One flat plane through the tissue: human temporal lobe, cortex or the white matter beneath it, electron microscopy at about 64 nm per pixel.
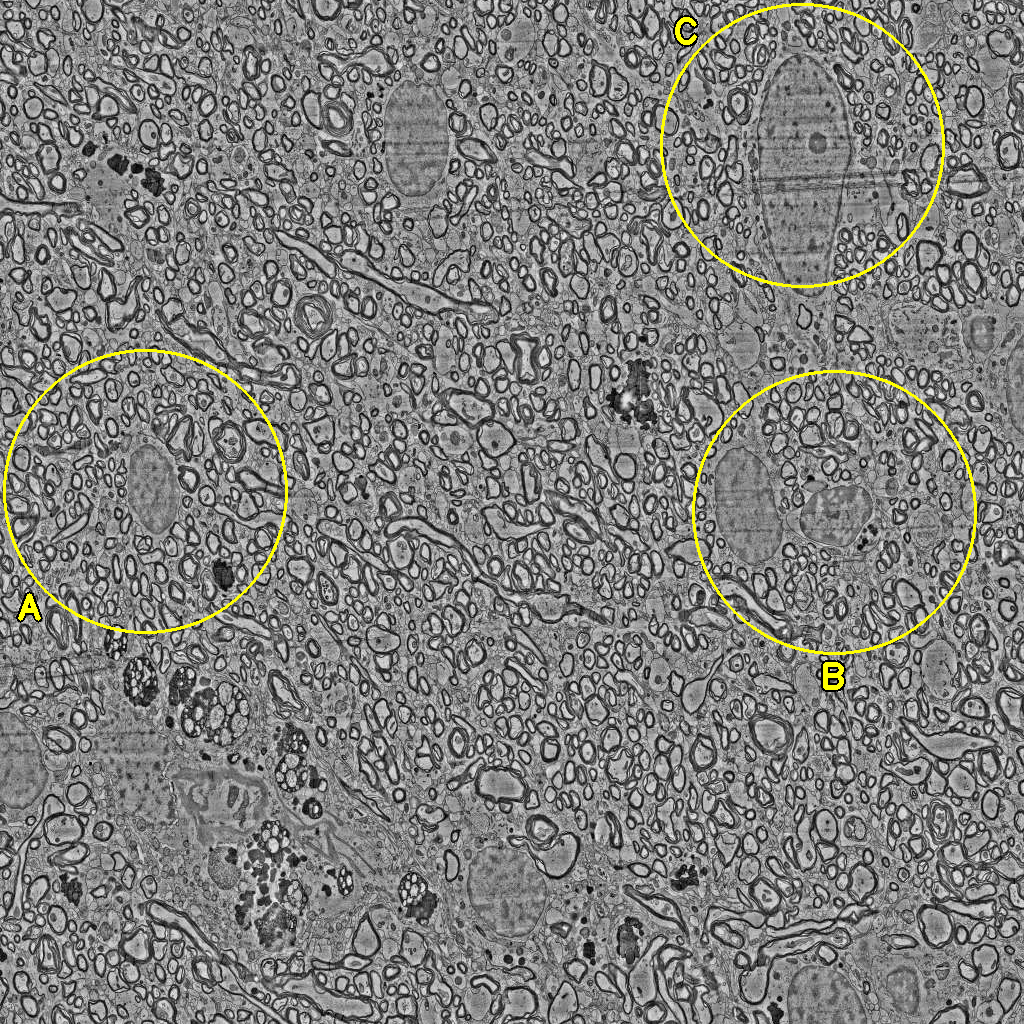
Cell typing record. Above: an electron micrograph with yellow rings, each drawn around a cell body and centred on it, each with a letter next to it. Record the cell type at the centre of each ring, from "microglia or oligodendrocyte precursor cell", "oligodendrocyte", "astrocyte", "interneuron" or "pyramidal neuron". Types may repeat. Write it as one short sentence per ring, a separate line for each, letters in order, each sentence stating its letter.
Ring A circles an oligodendrocyte.
Ring B circles a microglial cell or oligodendrocyte precursor cell.
Ring C circles an astrocyte.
